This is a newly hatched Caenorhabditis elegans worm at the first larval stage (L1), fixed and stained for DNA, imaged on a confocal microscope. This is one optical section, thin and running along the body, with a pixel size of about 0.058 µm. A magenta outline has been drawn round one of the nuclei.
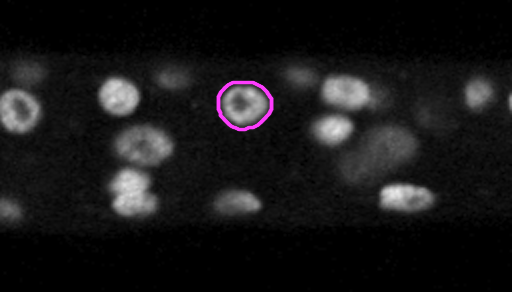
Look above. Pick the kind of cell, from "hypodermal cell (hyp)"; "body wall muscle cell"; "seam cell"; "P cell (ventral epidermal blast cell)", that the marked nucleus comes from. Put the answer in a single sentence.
It is the nucleus of a seam cell.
